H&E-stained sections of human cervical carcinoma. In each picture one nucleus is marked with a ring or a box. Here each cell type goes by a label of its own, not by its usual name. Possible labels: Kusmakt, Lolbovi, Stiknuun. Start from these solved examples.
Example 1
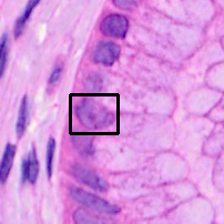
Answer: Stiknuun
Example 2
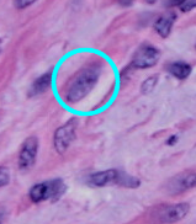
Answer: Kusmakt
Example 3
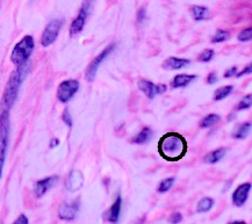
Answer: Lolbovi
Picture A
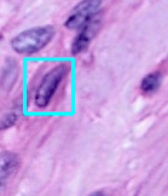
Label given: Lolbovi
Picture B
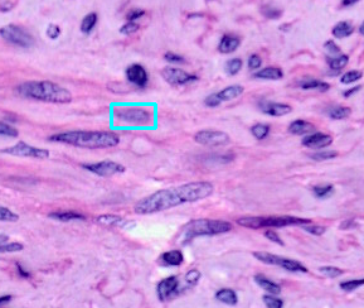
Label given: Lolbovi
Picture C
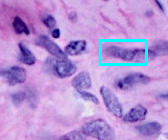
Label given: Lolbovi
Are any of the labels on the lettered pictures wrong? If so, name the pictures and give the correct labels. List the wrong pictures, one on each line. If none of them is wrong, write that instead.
A: Kusmakt, not Lolbovi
